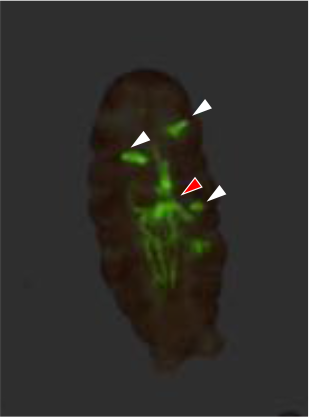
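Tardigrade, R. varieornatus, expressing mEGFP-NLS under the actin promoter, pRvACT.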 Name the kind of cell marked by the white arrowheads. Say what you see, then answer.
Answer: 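The white arrowheads point at short elongated green bodies near the side of the animal. The green bodies lie inside the brown body outline of the whole animal.
Muscle cells.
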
